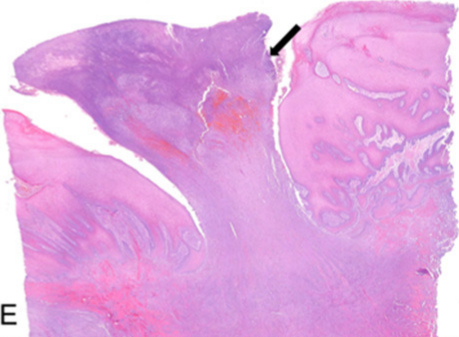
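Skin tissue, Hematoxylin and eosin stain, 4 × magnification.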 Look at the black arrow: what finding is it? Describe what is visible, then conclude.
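A focal break in the epidermal surface. Dense purple inflamed tissue fills the gap and extends downward. A red area of blood lies within the lesion. On this evidence: ulcerative dermatitis.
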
